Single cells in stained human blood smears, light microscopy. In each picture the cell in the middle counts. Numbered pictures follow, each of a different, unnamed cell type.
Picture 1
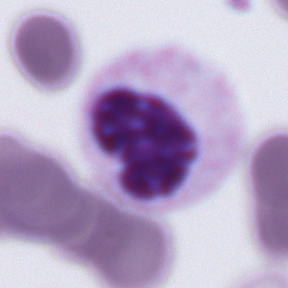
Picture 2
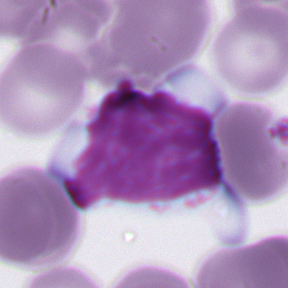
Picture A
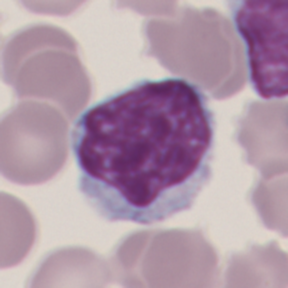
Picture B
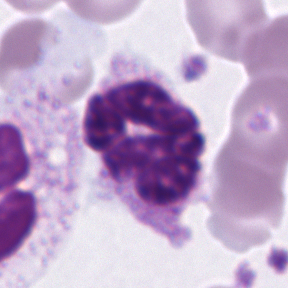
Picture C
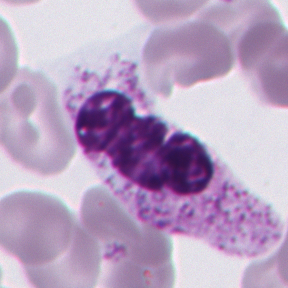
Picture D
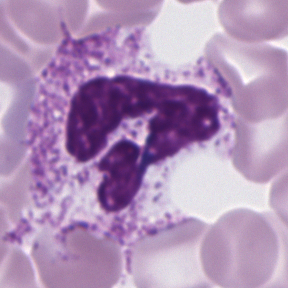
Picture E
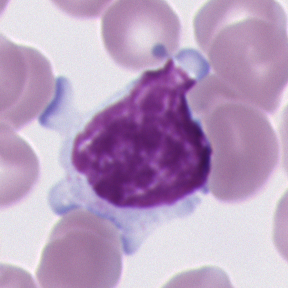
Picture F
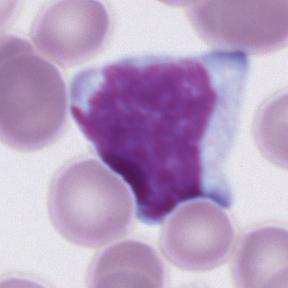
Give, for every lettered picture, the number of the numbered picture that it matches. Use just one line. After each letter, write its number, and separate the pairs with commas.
A 2, B 1, C 1, D 1, E 2, F 2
